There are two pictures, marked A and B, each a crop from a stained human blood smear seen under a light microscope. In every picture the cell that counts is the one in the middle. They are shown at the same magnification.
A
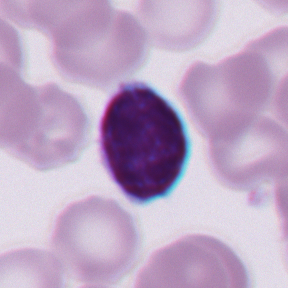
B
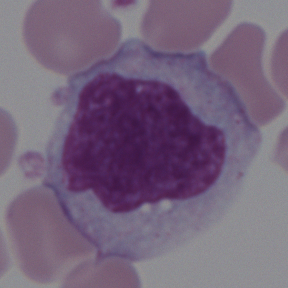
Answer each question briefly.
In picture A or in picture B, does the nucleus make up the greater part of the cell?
A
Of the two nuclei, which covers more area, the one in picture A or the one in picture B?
B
